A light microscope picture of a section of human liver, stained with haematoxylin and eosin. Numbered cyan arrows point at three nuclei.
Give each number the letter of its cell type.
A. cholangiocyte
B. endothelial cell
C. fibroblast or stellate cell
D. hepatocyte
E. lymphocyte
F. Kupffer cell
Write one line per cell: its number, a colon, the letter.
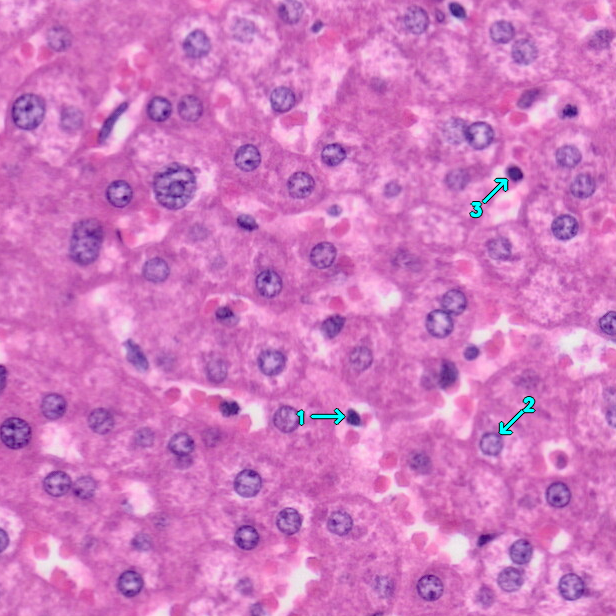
1: E
2: D
3: E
